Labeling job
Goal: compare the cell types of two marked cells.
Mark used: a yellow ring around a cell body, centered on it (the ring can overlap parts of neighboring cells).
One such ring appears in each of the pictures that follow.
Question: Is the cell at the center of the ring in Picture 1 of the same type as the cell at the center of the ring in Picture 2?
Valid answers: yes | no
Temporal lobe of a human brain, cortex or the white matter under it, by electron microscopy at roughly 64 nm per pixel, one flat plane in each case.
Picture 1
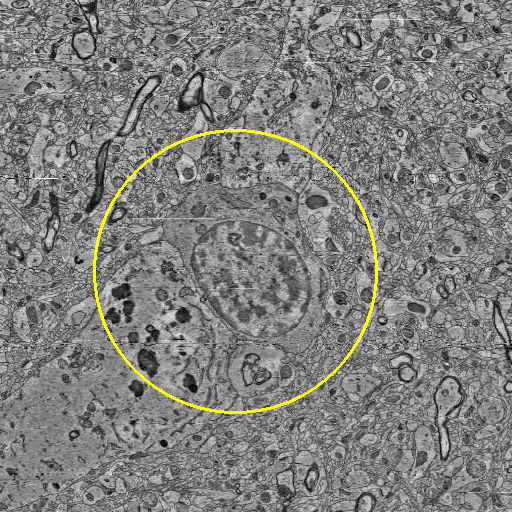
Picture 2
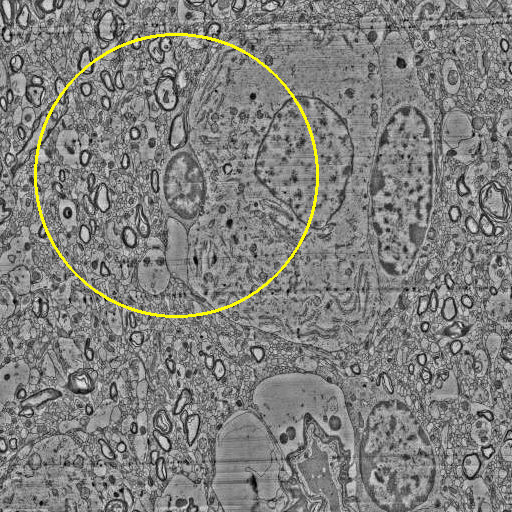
yes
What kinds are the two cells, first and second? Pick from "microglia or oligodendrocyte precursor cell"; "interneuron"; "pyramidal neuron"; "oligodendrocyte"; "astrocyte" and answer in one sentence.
The first and the second cell are each an oligodendrocyte.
